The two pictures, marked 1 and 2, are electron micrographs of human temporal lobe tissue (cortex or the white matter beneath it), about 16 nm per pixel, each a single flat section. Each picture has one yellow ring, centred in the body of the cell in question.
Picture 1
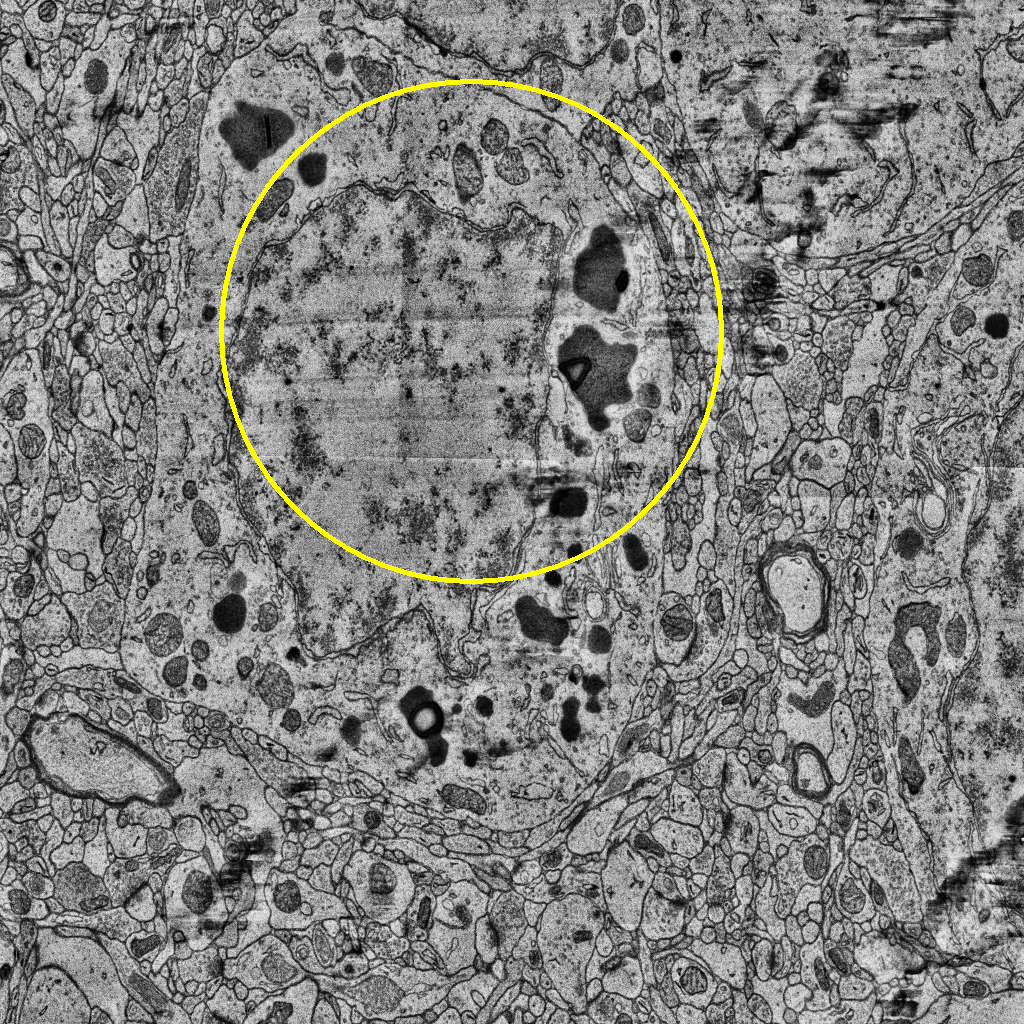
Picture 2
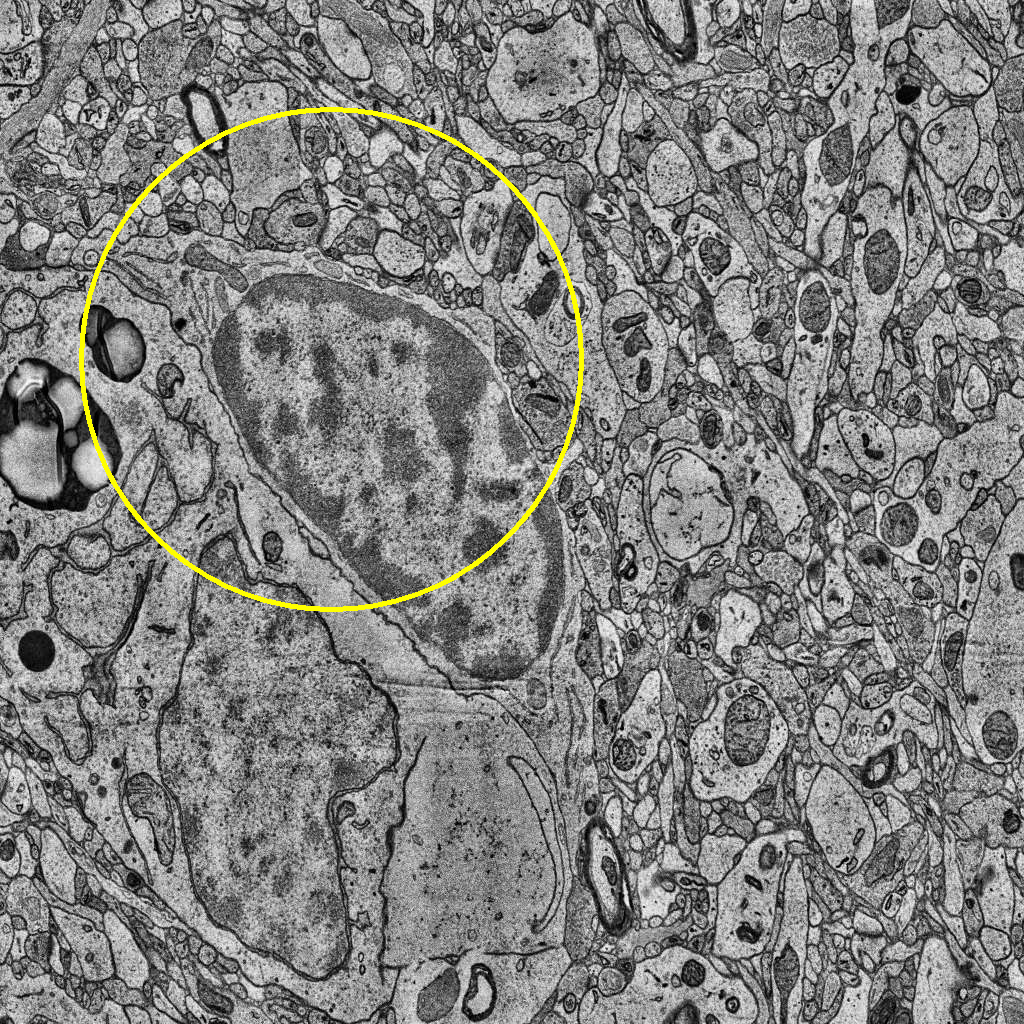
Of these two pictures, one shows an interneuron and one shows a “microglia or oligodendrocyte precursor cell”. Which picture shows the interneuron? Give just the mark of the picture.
1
